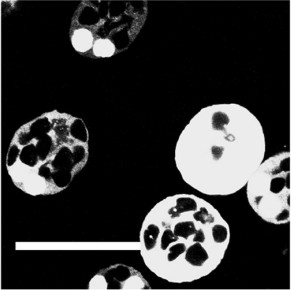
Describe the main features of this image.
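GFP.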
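Accessory gland epithelium with several large, round secondary cells filled with bright cytoplasm broken up by numerous dark, irregular vacuoles. Pairs of bright, rounded nuclei lie at the edge of some cells. The smaller cells between them are dark.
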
